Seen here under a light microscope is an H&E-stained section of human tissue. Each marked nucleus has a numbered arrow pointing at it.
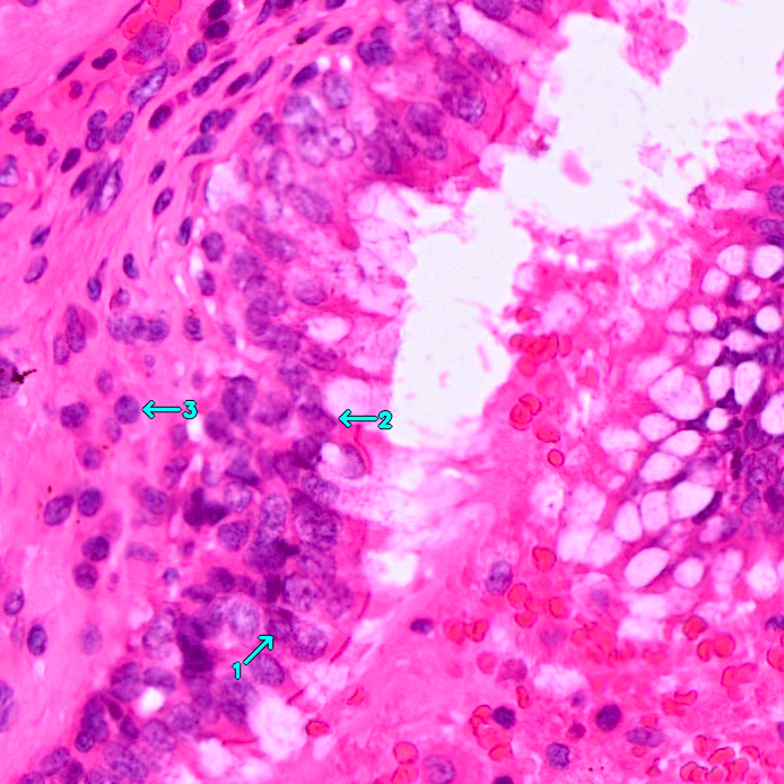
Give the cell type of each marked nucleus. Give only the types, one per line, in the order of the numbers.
ciliated epithelial cell
ciliated epithelial cell
plasma cell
